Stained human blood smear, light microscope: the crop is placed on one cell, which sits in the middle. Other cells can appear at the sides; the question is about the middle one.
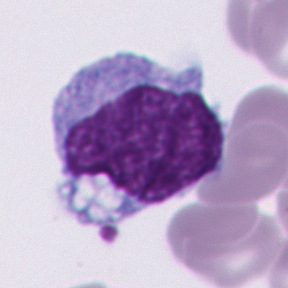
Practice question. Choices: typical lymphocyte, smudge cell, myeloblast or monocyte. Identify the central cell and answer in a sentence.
The cell marked by its central position in the crop is a monocyte.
